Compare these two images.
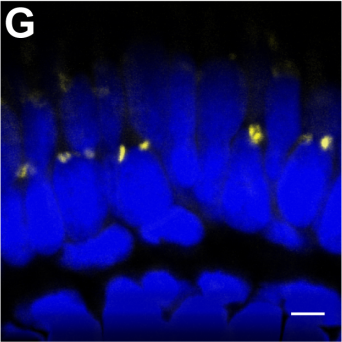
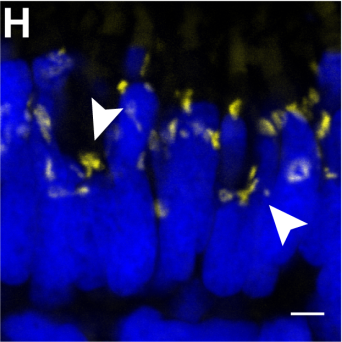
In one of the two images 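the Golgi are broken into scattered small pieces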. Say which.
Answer: The second image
